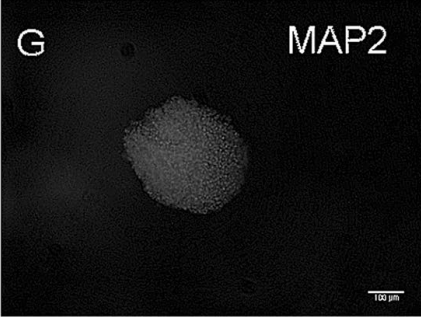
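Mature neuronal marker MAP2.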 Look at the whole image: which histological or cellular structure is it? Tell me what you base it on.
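Neural aggregates. A single compact, oval cluster of tightly packed small cells. No processes extend from the cluster into the surroundings.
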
